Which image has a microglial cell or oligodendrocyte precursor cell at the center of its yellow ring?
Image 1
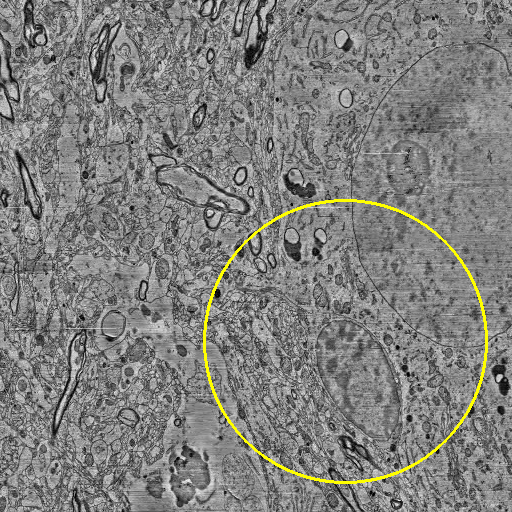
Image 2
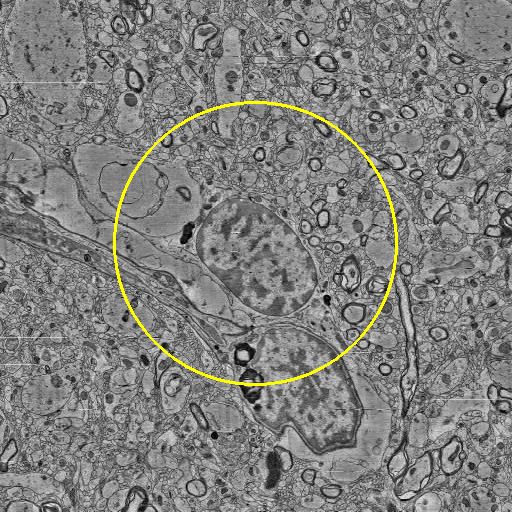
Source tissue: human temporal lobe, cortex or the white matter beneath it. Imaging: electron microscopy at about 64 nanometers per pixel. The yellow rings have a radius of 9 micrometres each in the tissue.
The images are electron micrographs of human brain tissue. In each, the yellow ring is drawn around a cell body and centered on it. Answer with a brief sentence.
It is at the center of the ring in Image 2.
